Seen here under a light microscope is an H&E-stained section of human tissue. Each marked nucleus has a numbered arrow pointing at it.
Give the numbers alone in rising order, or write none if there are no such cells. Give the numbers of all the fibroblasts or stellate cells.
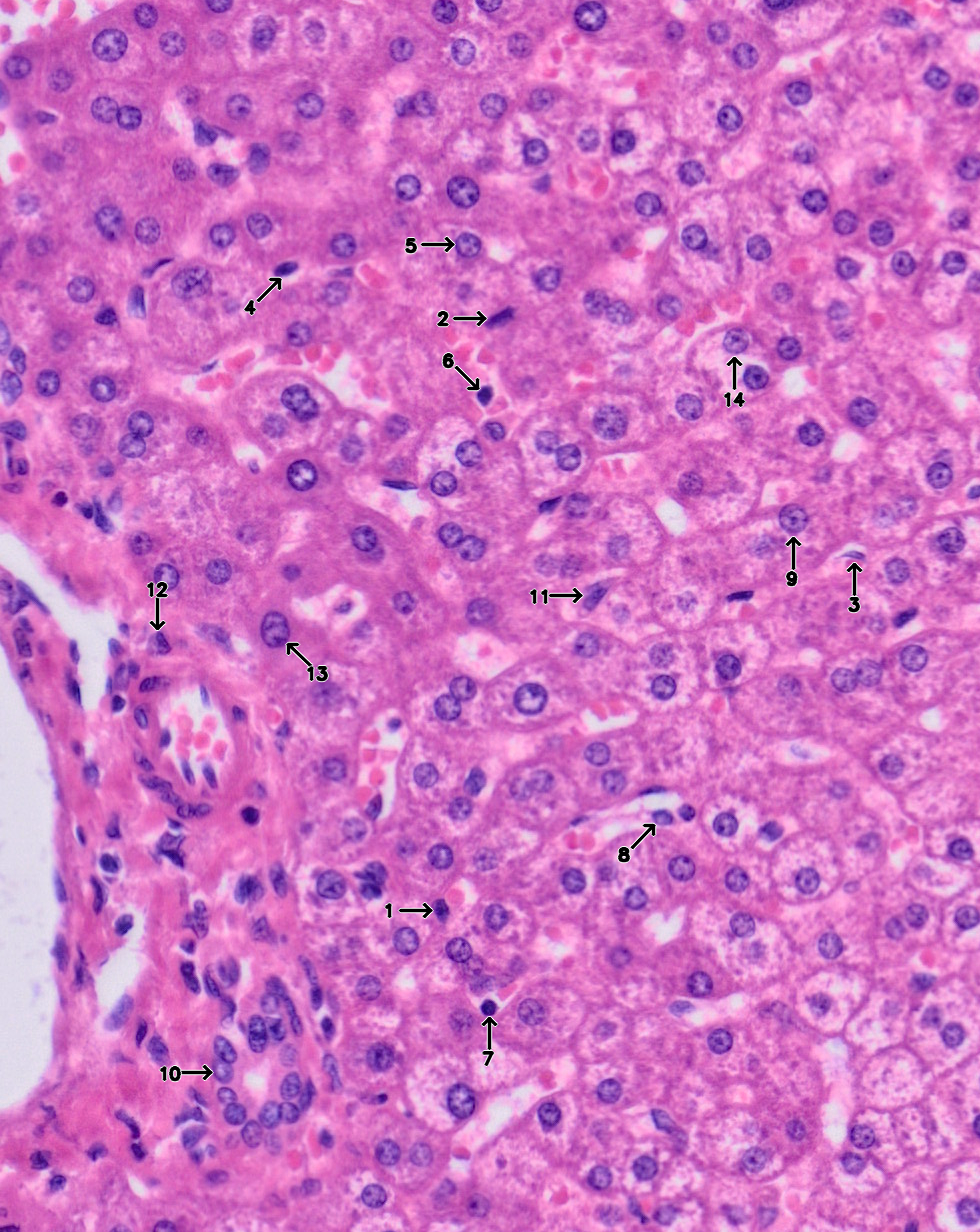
1, 2, 12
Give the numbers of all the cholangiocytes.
10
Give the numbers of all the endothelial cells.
3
